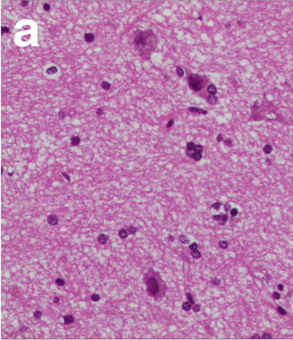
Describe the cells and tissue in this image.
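Brain tissue stained pink and purple shows neurons undergoing degeneration within a spongy neuropil. The pink neuropil is perforated by numerous small, round, clear vacuoles spread across the field. Scattered large neurons have dark, shrunken-looking purple cell bodies with angular outlines. Many small round dark nuclei of glial cells lie dispersed between them. No normal layered architecture is evident in the field.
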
